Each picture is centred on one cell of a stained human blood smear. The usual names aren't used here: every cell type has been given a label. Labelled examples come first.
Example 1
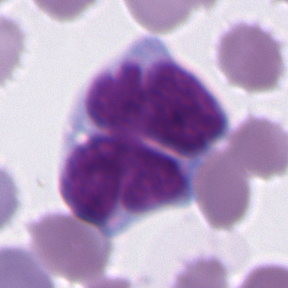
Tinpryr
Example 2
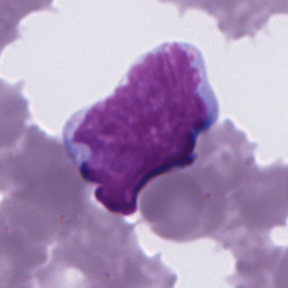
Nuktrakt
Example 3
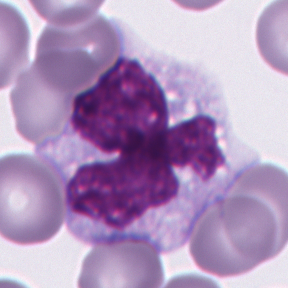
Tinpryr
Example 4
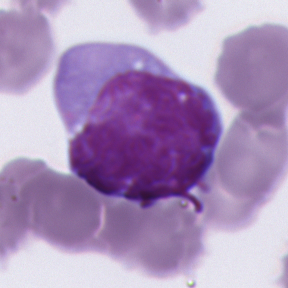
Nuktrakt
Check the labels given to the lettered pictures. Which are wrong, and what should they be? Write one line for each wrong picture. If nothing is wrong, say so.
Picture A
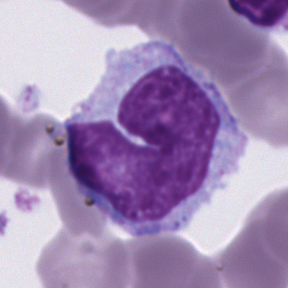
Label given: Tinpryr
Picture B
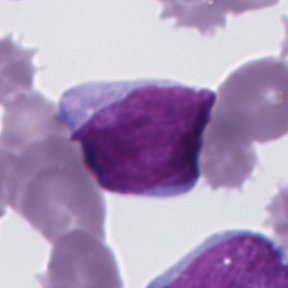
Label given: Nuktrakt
Every label is right.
